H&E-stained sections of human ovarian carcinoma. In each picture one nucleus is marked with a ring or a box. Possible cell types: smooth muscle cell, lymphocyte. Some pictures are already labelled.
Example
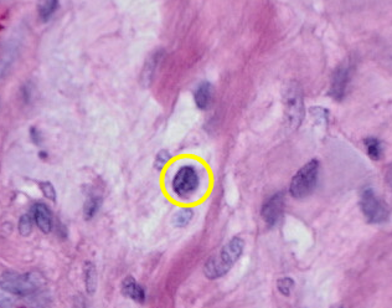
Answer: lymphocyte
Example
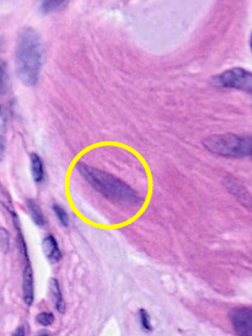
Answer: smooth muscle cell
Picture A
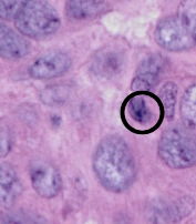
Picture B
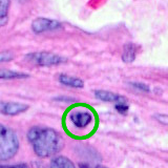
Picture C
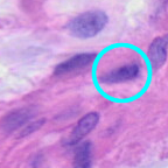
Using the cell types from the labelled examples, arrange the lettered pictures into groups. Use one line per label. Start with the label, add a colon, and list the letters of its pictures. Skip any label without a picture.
smooth muscle cell: C
lymphocyte: A, B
